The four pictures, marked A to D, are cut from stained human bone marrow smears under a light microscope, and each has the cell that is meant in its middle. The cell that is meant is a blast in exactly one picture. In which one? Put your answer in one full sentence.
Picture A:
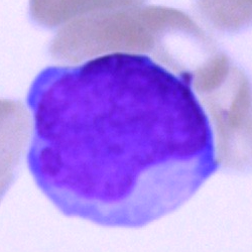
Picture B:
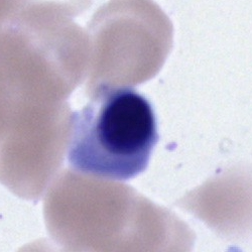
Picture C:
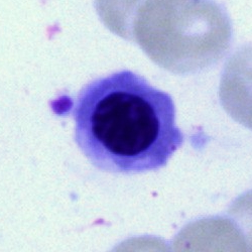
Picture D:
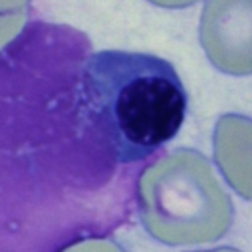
It is picture A that shows the blast.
